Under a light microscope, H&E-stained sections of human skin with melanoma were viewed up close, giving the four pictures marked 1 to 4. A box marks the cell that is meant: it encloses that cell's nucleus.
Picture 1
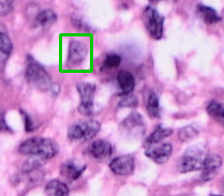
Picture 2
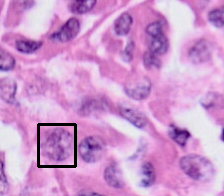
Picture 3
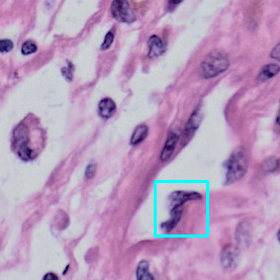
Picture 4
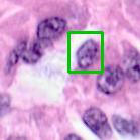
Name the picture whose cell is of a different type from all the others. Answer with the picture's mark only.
3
